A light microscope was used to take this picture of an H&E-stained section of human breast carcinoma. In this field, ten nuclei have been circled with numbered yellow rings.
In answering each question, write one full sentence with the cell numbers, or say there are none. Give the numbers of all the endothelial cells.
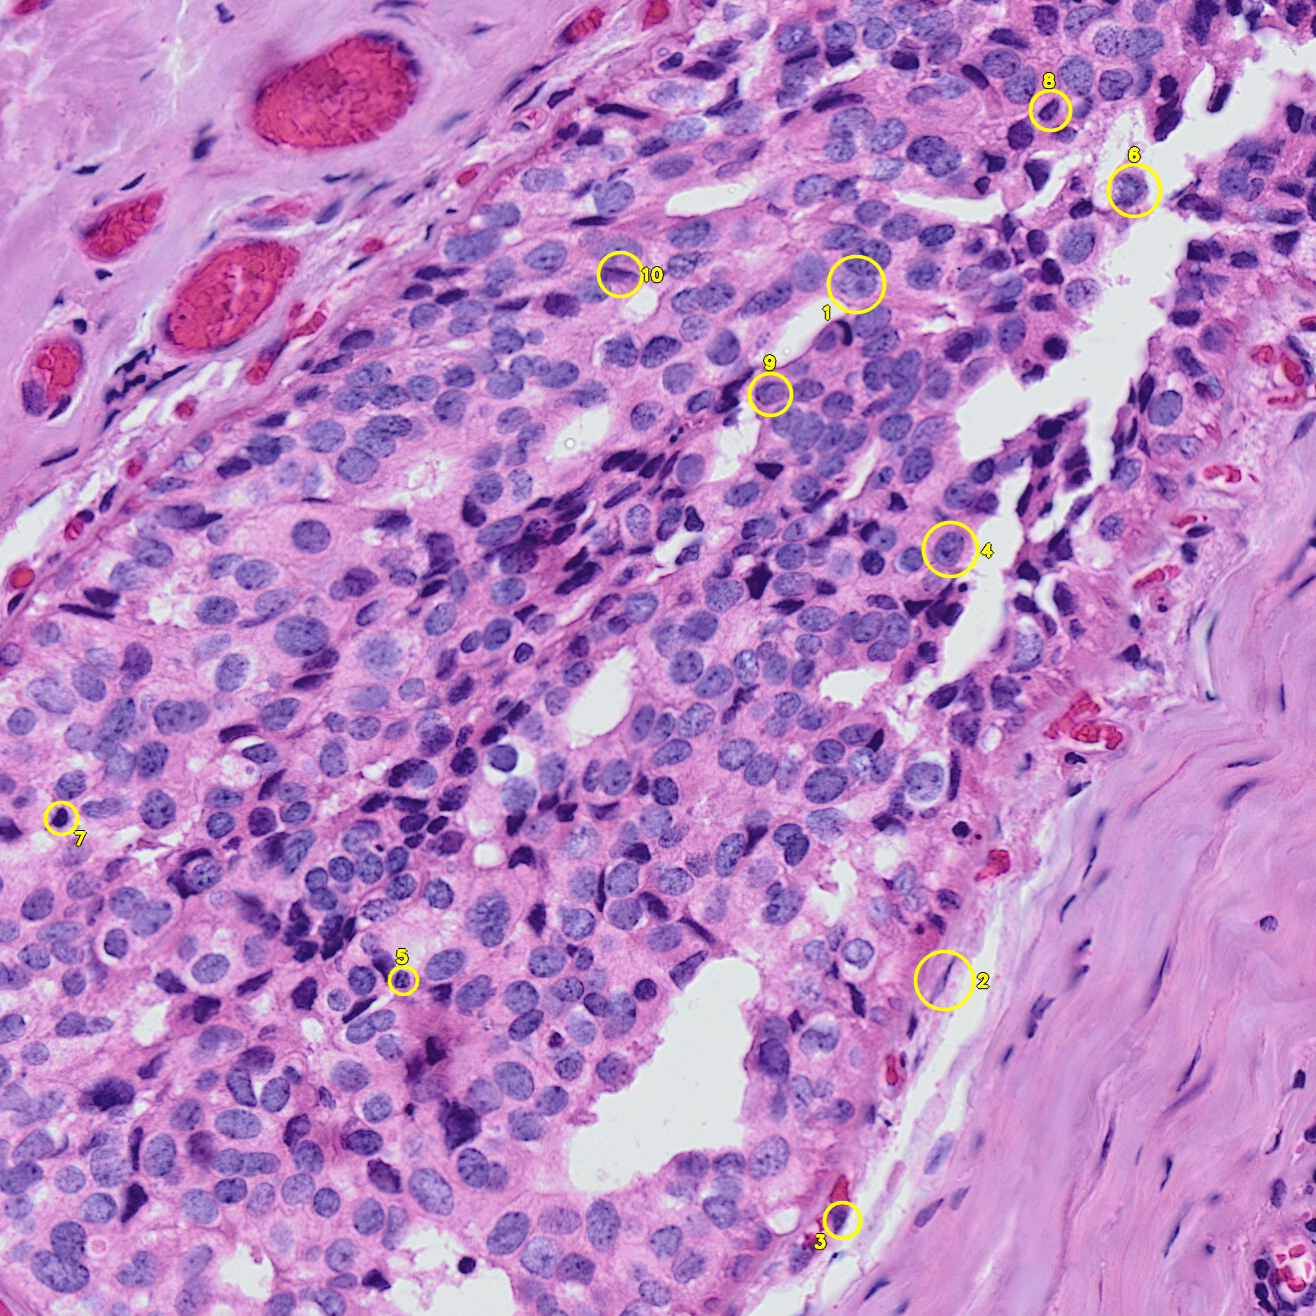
Cell 3 is an endothelial cell; every other numbered cell is something else.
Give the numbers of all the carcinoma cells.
The cells shown with numbers 1, 4, 6, 8, 9 and 10 are carcinoma cells.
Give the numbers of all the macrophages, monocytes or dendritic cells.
Any macrophages, monocytes or dendritic cells present in the section are not among the numbered cells.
